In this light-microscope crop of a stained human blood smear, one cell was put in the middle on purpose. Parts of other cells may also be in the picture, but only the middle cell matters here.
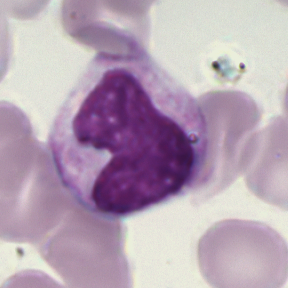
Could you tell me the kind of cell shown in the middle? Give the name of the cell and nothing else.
band neutrophil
